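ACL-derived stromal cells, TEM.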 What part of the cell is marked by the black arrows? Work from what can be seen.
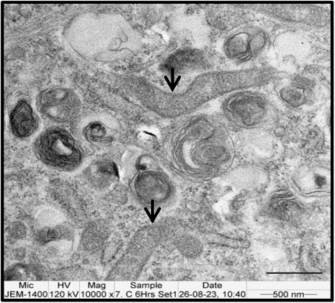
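Mitochondria. The arrows point to elongated, double-membraned organelles with internal folds.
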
